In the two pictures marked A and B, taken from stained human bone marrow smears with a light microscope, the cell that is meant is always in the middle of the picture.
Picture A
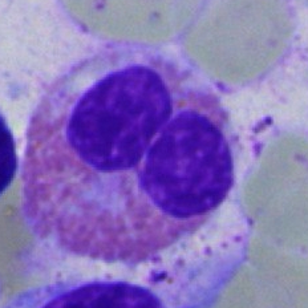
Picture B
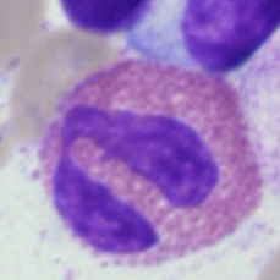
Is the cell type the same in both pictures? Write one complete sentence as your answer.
Yes, both cells are eosinophils.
